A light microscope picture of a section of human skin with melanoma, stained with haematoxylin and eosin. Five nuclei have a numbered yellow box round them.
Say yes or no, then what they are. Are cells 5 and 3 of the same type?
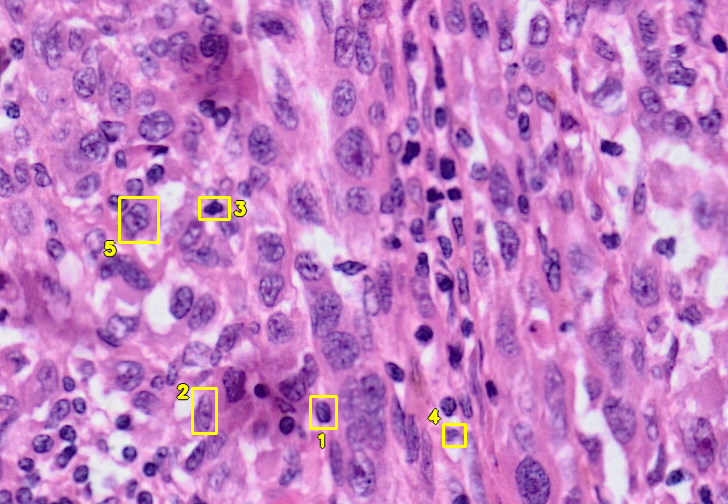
No, cell 5 is a melanoma cell and cell 3 is a lymphocyte.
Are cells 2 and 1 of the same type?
No, cell 2 is a melanoma cell and cell 1 is a lymphocyte.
